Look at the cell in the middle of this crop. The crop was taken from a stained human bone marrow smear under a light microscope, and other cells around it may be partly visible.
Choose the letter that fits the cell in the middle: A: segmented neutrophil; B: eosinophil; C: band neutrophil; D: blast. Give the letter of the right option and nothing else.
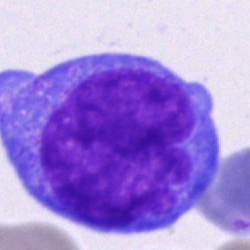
D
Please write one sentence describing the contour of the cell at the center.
A smooth outline is absent here, replaced by ragged stretches or projections.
